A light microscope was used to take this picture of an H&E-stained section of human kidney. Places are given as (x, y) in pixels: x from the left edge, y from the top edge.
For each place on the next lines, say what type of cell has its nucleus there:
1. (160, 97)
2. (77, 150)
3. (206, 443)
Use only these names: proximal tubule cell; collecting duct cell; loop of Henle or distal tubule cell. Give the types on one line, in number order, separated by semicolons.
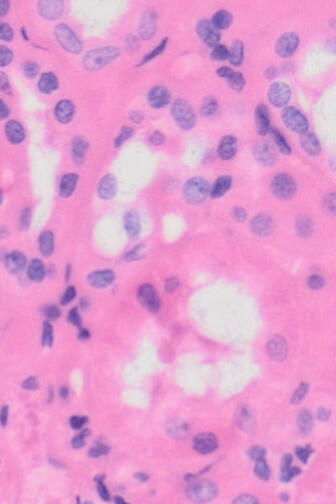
collecting duct cell; collecting duct cell; proximal tubule cell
